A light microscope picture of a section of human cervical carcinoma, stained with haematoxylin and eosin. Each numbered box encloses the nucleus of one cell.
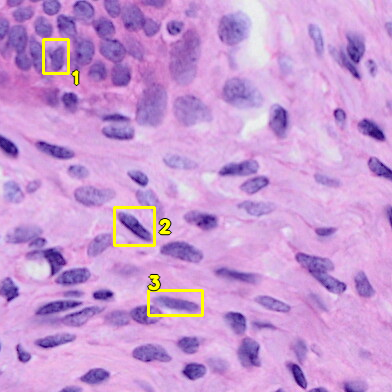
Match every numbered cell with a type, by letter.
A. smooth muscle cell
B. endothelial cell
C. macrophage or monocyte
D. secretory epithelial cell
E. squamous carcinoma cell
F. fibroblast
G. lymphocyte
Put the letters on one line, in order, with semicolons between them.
D; F; F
